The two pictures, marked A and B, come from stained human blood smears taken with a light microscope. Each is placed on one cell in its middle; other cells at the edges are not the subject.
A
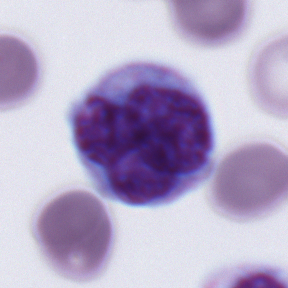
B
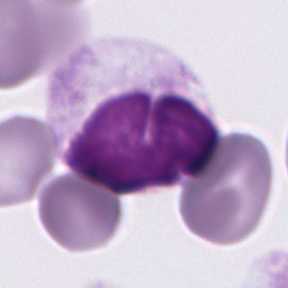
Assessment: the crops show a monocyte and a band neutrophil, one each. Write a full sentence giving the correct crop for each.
What crop A shows is a monocyte, and what crop B shows is a band neutrophil.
